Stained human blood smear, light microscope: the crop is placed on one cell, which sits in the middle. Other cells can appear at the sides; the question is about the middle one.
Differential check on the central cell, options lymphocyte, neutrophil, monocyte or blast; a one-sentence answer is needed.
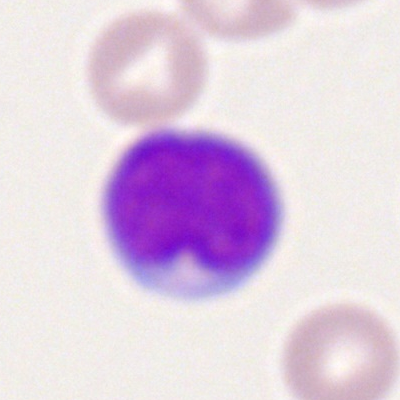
The central cell, amid any neighbouring cells, is a blast.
